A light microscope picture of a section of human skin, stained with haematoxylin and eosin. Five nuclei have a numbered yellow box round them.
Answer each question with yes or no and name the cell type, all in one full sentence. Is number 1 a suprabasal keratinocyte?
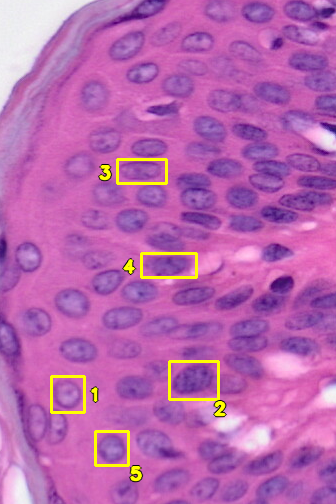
Yes, the cell referred to as number 1 is a suprabasal keratinocyte.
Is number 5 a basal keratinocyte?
No, it is not a basal keratinocyte that bears number 5 but a suprabasal keratinocyte.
